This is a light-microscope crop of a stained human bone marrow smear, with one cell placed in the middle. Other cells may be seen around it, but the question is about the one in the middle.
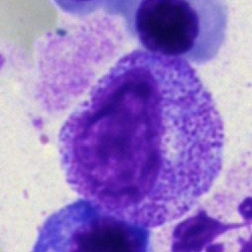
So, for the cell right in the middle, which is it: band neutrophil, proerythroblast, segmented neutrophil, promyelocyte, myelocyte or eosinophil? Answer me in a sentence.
Whatever else lies nearby, the middle cell is a myelocyte.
